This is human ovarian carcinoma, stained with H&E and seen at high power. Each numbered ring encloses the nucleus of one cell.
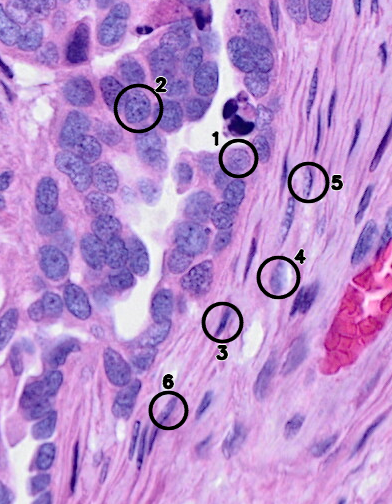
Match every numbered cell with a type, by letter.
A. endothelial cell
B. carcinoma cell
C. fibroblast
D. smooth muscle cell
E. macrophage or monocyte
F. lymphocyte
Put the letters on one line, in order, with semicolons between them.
B; B; C; C; C; C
